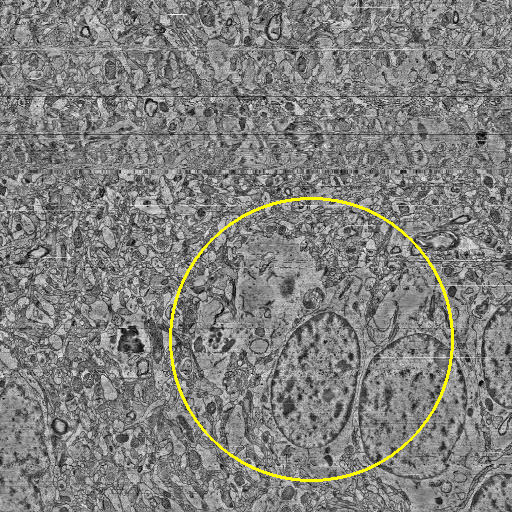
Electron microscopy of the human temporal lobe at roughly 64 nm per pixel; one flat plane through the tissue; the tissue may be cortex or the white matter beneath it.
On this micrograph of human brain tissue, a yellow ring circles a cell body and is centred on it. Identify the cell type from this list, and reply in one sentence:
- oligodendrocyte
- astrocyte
The cell at the centre is an astrocyte.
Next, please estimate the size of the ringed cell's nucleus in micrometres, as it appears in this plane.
Approximately 9 micrometres long and 5 micrometres wide, so clearly longer than it is wide in this plane.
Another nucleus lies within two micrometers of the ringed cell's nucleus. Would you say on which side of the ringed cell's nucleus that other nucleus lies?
The second nucleus lies to the right of it.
